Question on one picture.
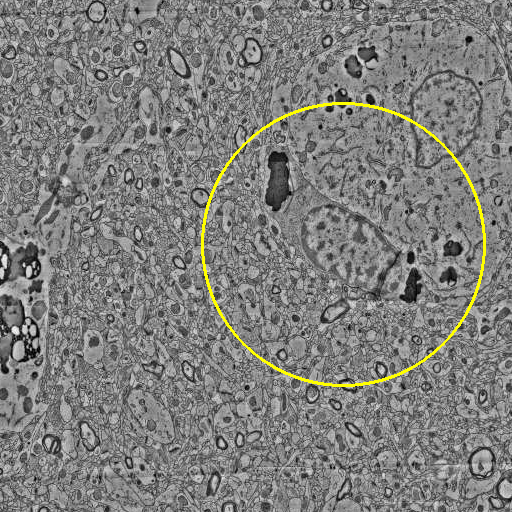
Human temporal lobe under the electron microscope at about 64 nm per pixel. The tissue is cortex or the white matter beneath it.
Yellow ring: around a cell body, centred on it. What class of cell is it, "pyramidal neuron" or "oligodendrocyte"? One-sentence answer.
This is an oligodendrocyte, the cell the ring is centred on.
